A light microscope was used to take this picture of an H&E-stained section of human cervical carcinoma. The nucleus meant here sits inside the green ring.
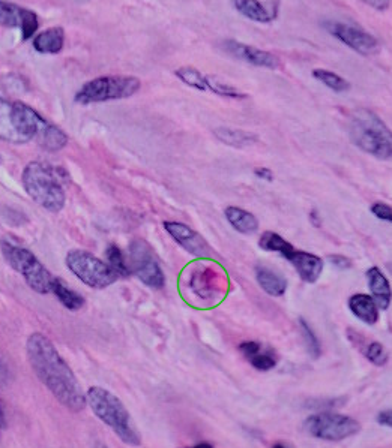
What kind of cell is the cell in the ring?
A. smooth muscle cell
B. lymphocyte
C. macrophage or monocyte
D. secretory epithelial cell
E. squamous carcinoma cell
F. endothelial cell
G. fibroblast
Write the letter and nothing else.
F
